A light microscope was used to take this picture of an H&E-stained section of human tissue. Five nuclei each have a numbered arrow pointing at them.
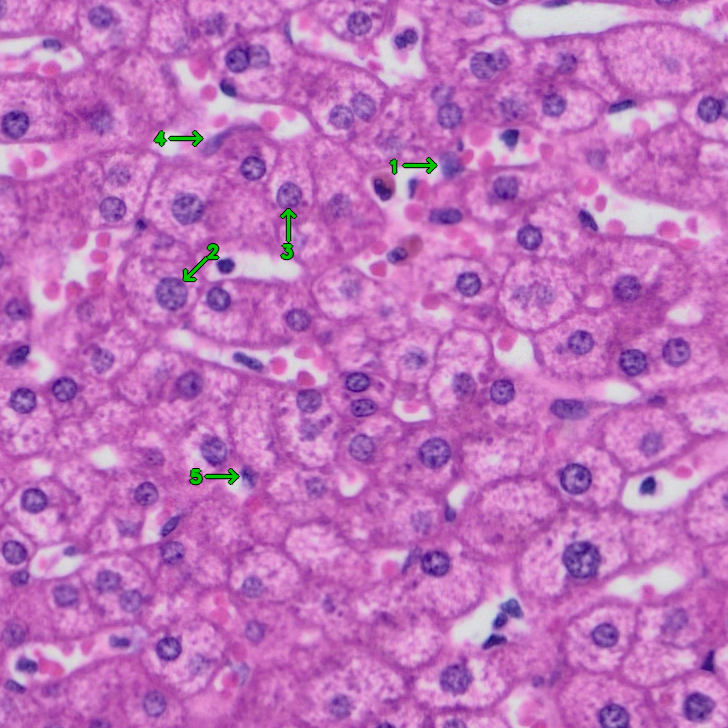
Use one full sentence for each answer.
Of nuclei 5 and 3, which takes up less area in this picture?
The smaller nucleus is 5, and 3 covers roughly 2 times its area.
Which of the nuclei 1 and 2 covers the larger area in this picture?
At about 1.5 times the area of nucleus 1, nucleus 2 is the larger of the two.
